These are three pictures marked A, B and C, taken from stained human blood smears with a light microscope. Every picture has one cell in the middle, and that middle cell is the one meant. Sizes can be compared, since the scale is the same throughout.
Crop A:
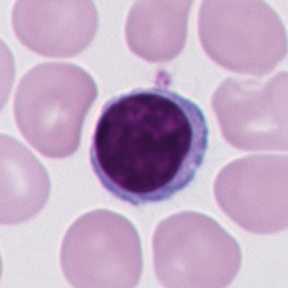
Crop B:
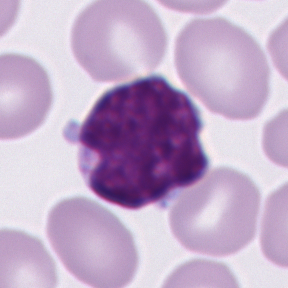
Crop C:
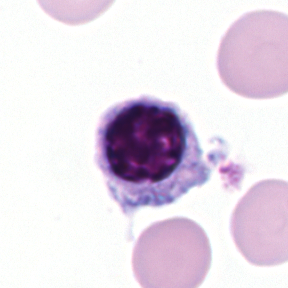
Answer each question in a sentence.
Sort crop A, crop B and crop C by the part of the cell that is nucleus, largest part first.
From the most filled to the least, the order is B, A, C.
